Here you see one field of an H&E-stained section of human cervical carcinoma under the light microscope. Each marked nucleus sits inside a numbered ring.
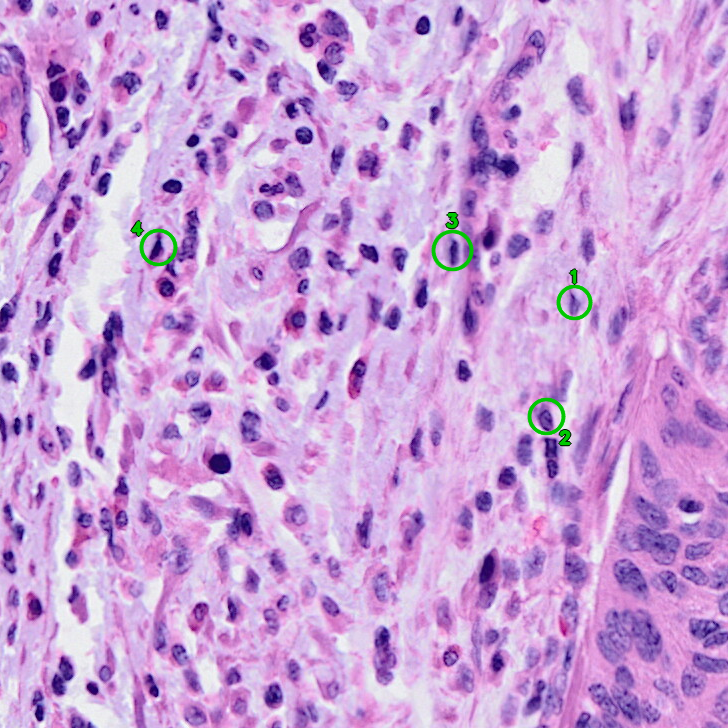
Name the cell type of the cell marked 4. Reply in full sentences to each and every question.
The cell given label 4 is a lymphocyte.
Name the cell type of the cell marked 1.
The marked nucleus 1 is that of a fibroblast.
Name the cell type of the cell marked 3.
Cell 3 in the field of view is a lymphocyte.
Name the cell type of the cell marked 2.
The cell indicated with the number 2 is classed as a lymphocyte.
